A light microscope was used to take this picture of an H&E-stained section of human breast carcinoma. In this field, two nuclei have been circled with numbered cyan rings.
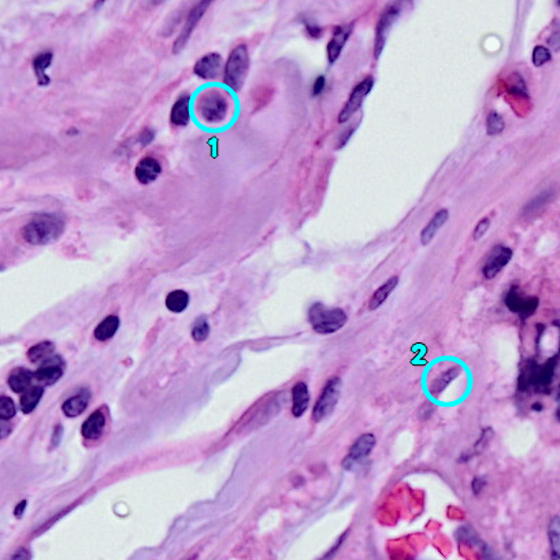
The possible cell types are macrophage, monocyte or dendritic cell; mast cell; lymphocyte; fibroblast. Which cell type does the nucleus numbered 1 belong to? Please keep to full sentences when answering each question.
The expected answer is that cell 1 is a mast cell.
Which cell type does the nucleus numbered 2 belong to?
Numbered cell 2 is a fibroblast in this tissue section.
